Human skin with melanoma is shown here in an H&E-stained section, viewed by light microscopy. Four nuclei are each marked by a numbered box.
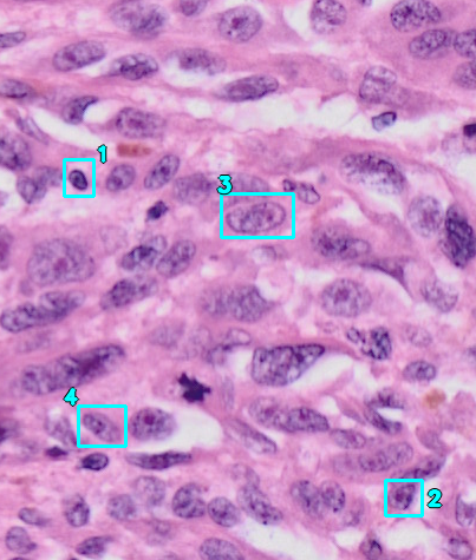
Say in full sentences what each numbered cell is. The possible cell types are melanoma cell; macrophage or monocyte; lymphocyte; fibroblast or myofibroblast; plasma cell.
Cell 1 is a lymphocyte, cell 2 is a melanoma cell, cell 3 is a melanoma cell and cell 4 is a melanoma cell.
